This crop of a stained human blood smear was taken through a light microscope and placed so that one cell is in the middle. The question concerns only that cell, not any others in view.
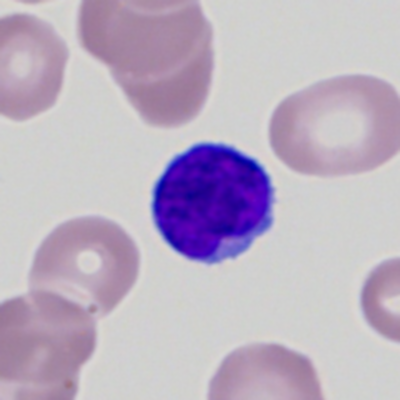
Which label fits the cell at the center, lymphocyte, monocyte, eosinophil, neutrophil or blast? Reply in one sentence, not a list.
The cell nearest the centre of this crop is a lymphocyte.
